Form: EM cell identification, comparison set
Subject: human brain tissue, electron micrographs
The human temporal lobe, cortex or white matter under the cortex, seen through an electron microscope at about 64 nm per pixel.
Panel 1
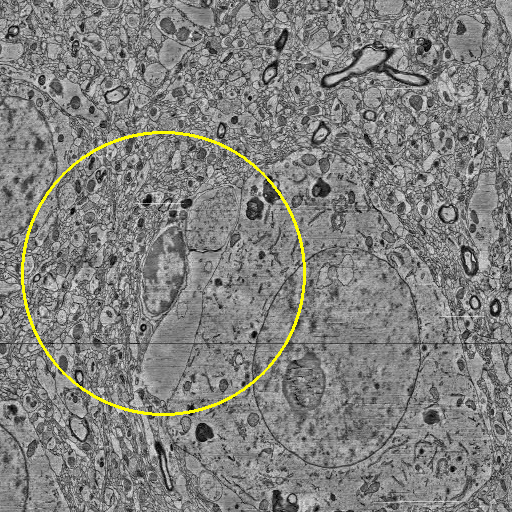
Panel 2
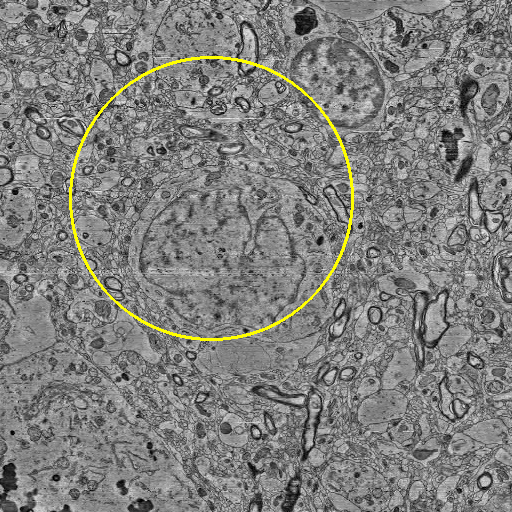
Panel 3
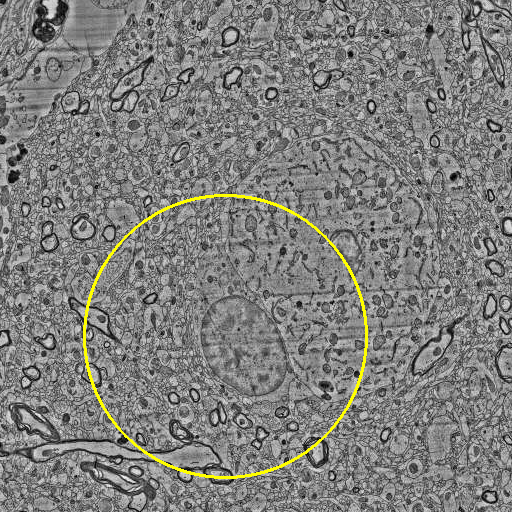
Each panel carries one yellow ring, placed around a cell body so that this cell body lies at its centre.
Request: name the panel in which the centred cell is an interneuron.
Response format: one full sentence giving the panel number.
Panel 2 has it at the centre of its ring.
